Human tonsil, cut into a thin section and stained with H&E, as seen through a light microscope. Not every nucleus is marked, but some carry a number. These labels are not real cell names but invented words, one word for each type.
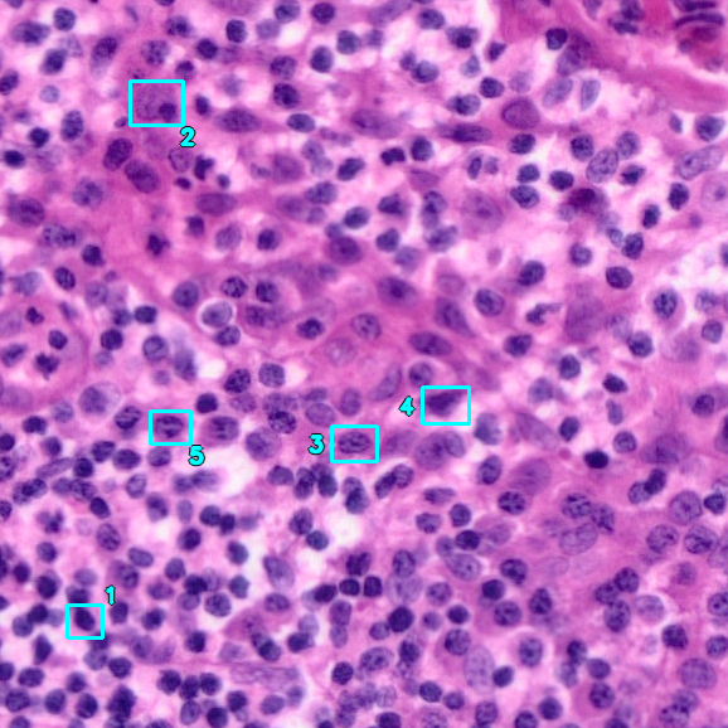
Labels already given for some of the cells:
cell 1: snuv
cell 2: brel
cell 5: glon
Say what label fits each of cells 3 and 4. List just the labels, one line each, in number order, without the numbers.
glon
brel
